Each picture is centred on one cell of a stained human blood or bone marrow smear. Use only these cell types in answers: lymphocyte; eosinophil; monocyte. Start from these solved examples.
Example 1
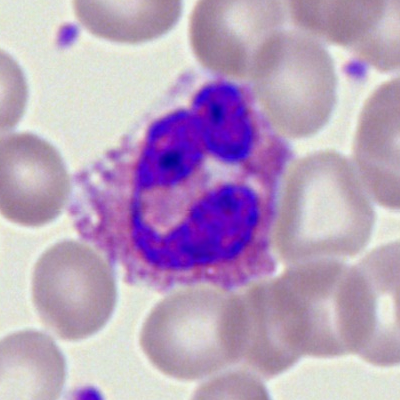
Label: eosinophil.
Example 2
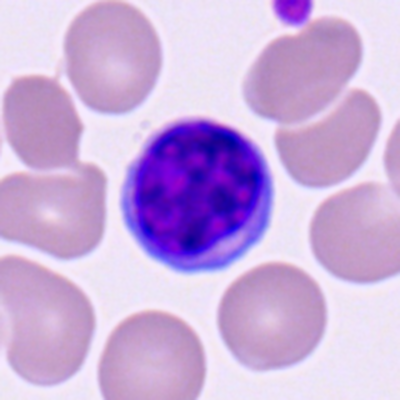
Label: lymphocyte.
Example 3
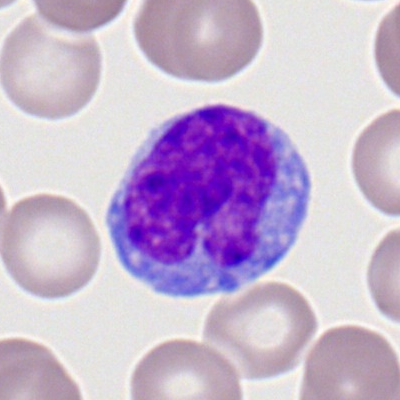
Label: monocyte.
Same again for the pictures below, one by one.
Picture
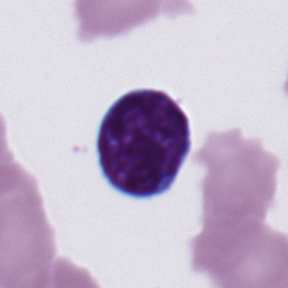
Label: lymphocyte.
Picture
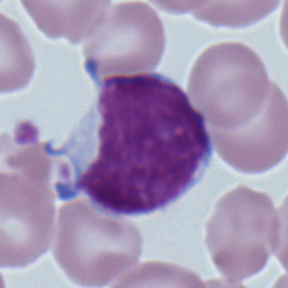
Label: lymphocyte.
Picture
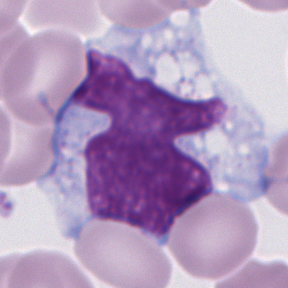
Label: monocyte.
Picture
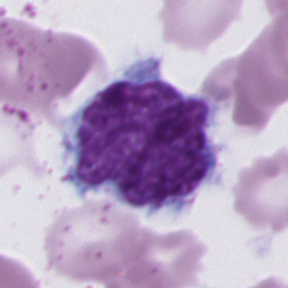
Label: monocyte.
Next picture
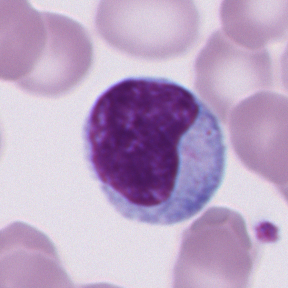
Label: lymphocyte.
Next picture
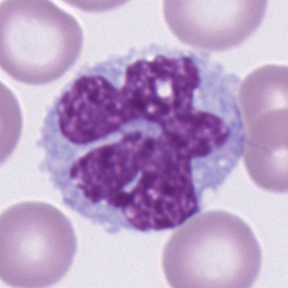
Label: monocyte.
